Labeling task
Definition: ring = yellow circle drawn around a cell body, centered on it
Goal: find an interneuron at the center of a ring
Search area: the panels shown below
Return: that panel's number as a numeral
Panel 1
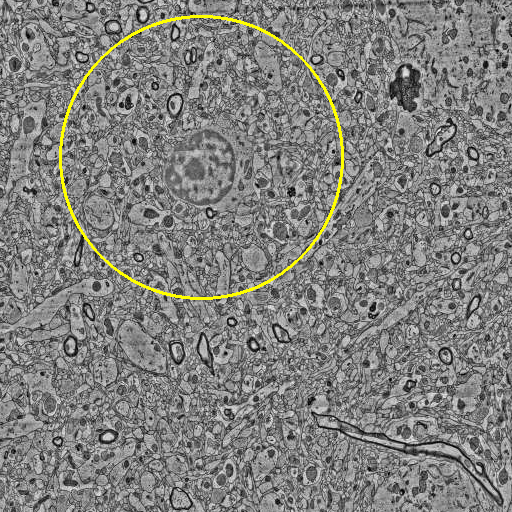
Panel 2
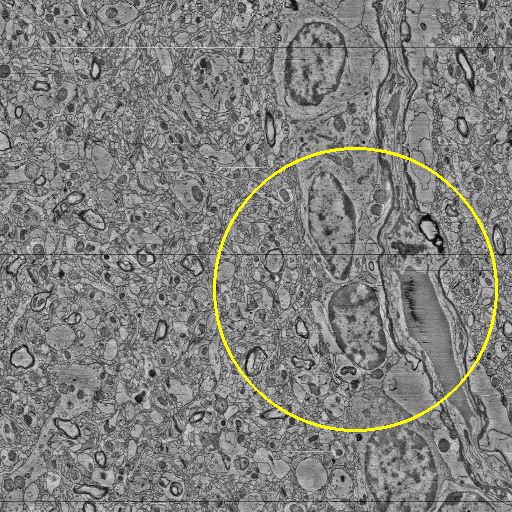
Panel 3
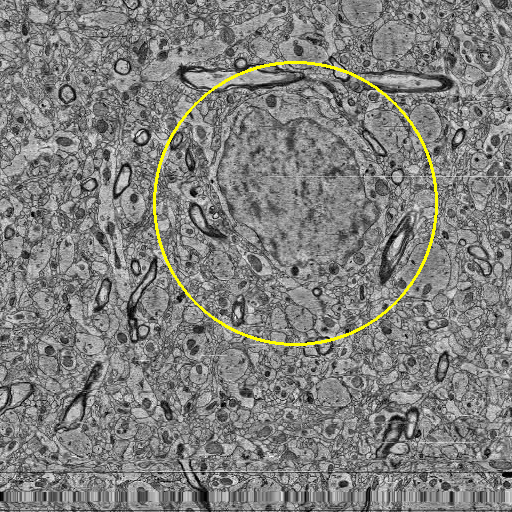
3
